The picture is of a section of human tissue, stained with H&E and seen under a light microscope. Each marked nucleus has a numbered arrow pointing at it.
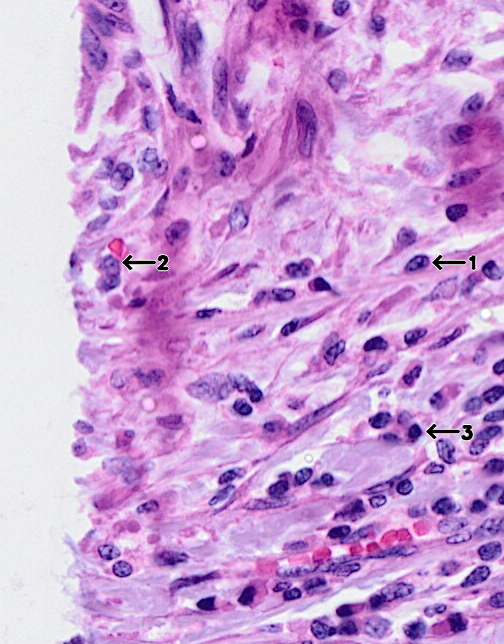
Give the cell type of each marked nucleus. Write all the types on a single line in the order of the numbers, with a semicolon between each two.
lymphocyte; endothelial cell; lymphocyte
